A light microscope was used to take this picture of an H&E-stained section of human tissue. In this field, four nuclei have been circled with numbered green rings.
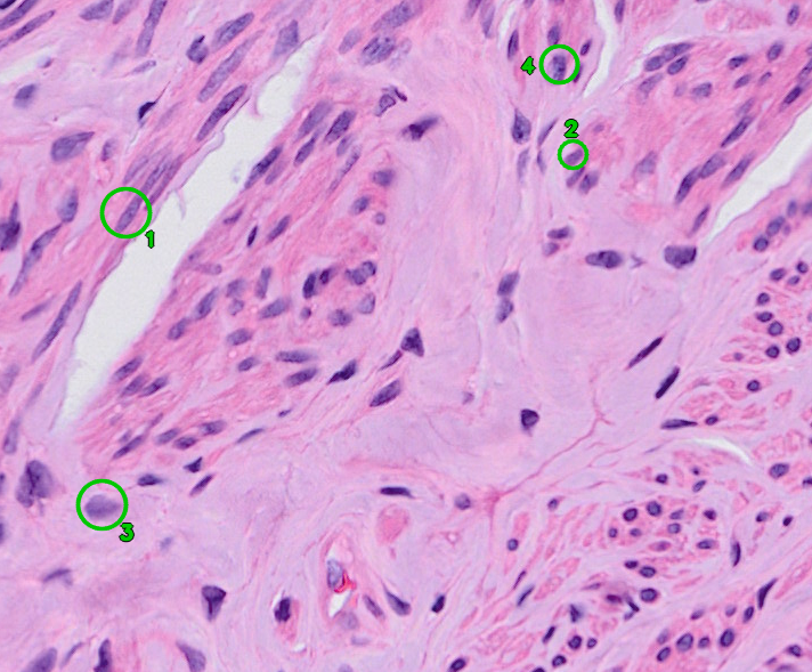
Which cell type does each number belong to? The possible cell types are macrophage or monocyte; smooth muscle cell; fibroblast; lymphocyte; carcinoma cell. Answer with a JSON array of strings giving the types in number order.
["smooth muscle cell", "smooth muscle cell", "fibroblast", "smooth muscle cell"]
